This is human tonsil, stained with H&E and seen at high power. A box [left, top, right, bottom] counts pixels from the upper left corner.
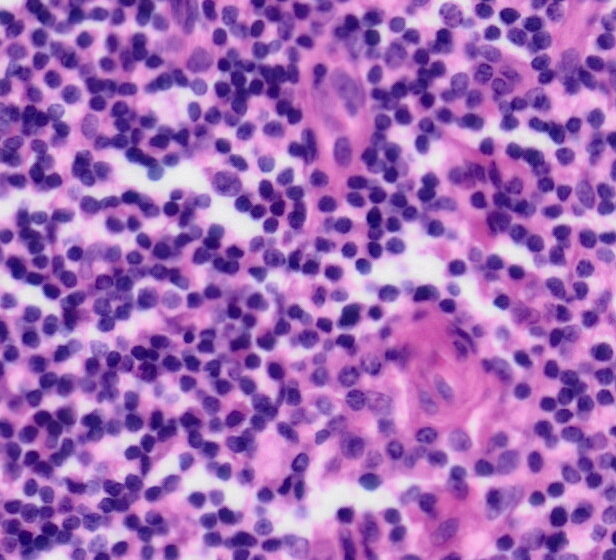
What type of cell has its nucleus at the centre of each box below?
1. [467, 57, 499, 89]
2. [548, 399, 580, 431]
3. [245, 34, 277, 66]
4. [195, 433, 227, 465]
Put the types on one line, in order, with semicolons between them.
plasma cell; small lymphocyte; small lymphocyte; small lymphocyte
